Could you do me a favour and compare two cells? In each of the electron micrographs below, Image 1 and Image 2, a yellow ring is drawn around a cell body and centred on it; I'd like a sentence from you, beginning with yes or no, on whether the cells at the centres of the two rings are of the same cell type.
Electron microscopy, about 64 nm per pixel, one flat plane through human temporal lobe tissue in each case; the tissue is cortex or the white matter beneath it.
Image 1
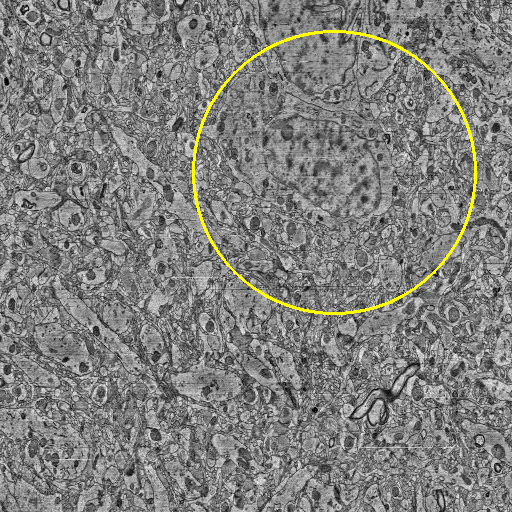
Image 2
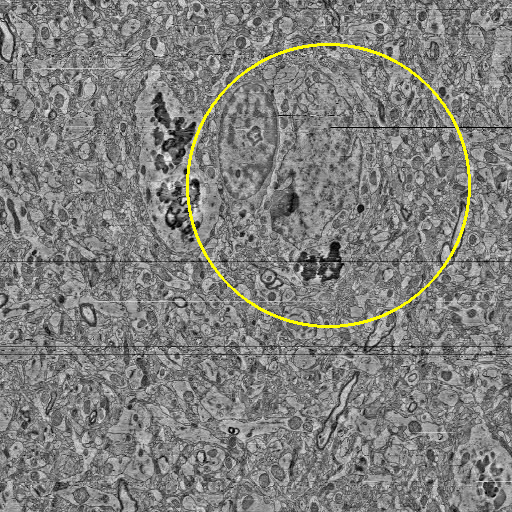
Yes, the two cells are of the same cell type.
